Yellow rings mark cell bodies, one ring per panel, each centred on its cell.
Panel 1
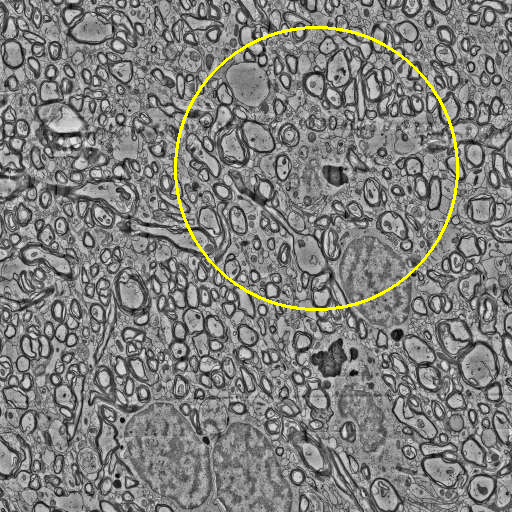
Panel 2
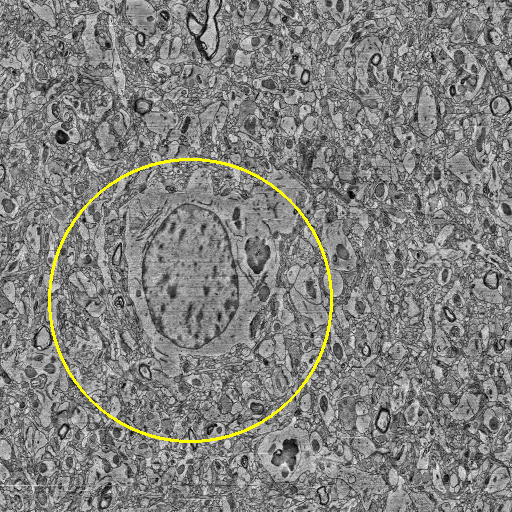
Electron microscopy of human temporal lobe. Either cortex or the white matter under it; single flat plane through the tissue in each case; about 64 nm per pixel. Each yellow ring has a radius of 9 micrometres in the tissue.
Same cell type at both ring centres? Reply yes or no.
no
